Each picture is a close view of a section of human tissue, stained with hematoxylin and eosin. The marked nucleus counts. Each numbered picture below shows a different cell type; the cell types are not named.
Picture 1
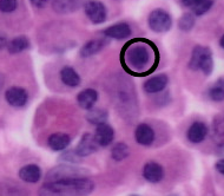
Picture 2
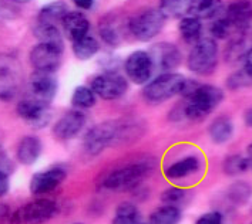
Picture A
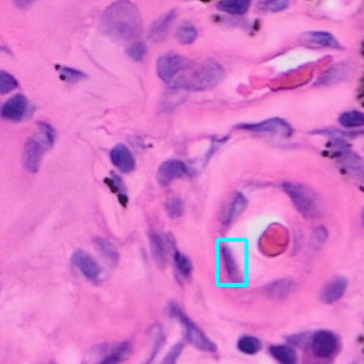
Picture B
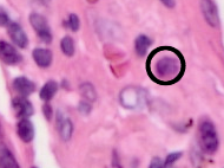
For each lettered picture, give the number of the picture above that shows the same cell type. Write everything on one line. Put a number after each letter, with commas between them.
A 2, B 1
